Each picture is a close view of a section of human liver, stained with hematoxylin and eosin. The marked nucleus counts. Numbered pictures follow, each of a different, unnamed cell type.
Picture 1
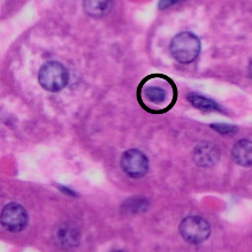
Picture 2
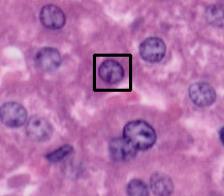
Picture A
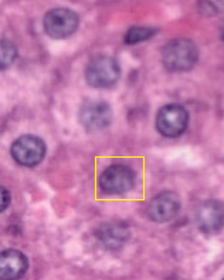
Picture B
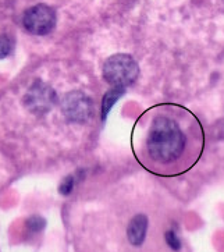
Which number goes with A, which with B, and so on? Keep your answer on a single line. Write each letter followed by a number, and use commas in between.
A 2, B 2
